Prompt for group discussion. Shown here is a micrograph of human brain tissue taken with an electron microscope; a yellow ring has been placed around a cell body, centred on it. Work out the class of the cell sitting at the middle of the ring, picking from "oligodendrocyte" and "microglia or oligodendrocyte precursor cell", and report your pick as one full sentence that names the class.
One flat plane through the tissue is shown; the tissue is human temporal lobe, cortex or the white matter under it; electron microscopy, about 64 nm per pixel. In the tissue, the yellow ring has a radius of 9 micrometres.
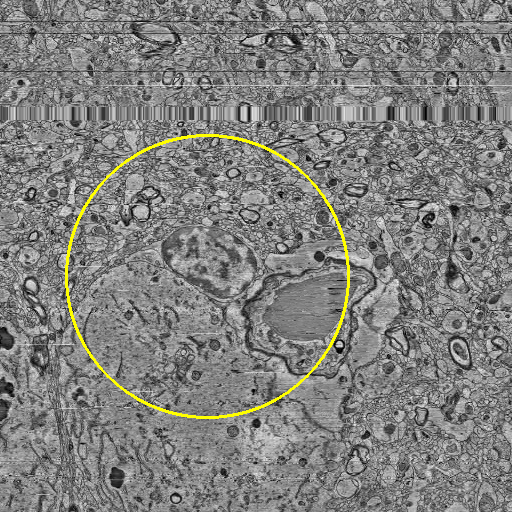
The cell sitting at the middle of the yellow ring is a microglial cell or oligodendrocyte precursor cell.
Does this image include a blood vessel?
Yes, one appears.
